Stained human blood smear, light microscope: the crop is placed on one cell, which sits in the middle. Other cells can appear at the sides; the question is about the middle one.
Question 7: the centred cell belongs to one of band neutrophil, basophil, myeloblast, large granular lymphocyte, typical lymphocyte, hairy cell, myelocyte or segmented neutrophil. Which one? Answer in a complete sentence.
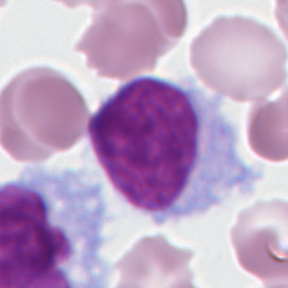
The cell marked by its central position in the crop is a hairy cell.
